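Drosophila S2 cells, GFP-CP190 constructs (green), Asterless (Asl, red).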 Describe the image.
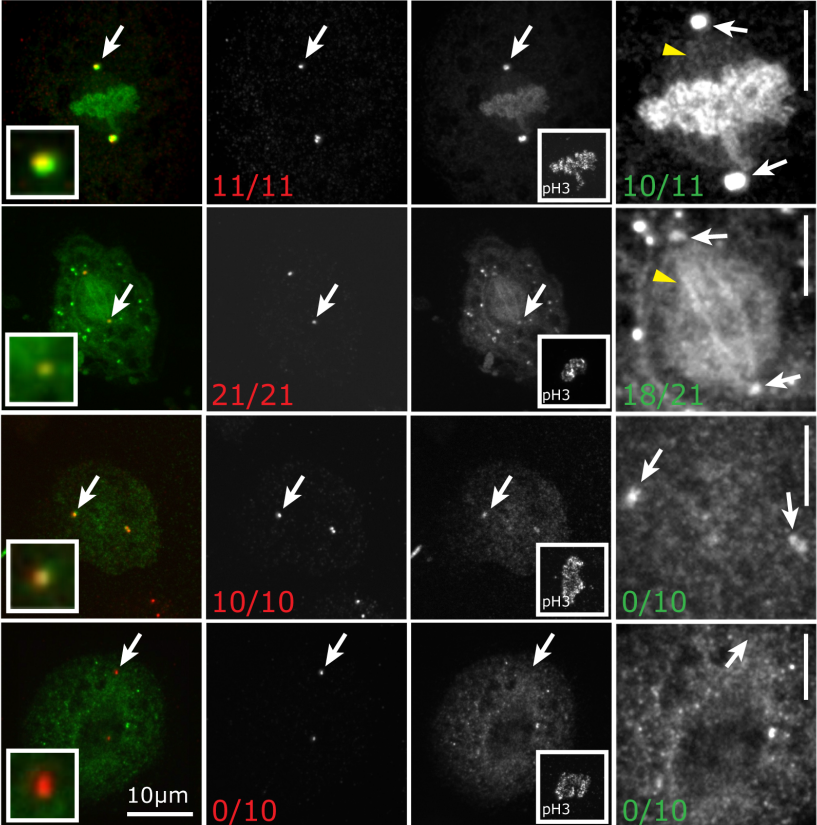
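In every cell the red channel shows two small, bright dots that sit at opposite sides of the cell; these are the centrosomes at the spindle poles. In the lower two rows the green signal is mostly diffuse or speckled through the cytoplasm. In the bottom row the green signal is not concentrated at the red dots at all. The small insets show compact, condensed chromosomes, which confirm that the cells are in mitosis.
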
